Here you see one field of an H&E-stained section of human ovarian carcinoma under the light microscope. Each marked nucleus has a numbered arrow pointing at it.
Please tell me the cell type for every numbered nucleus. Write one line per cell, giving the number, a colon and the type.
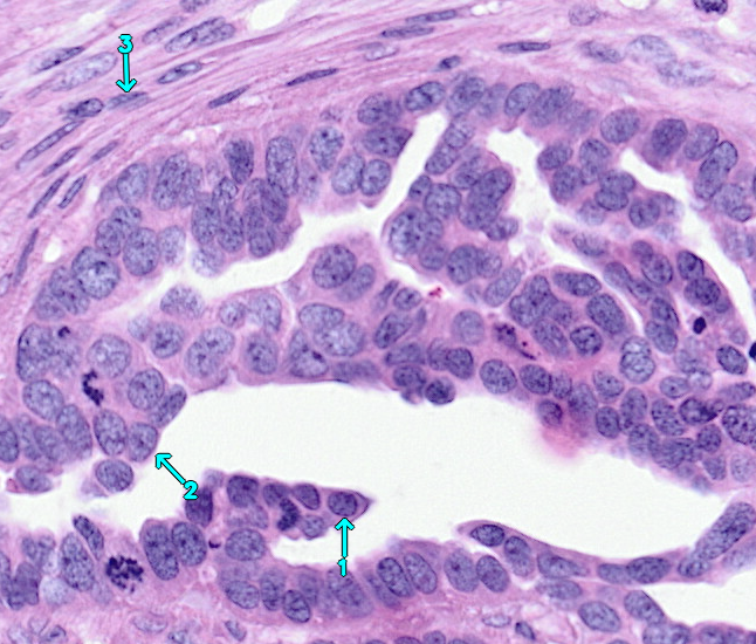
1: carcinoma cell
2: carcinoma cell
3: fibroblast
